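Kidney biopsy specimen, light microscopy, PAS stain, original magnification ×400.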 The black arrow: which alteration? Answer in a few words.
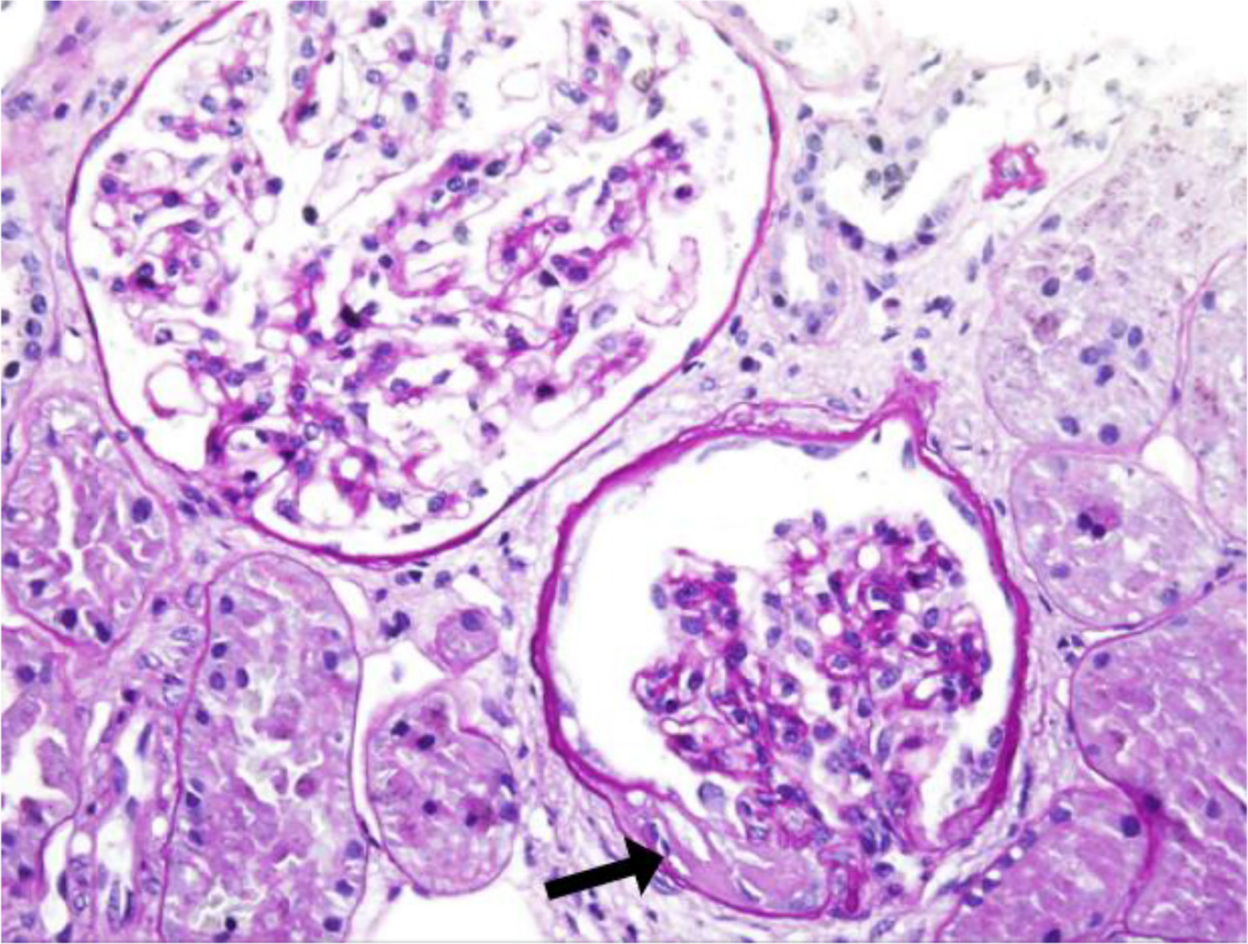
Perihilar focal segmental glomerulosclerosis.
